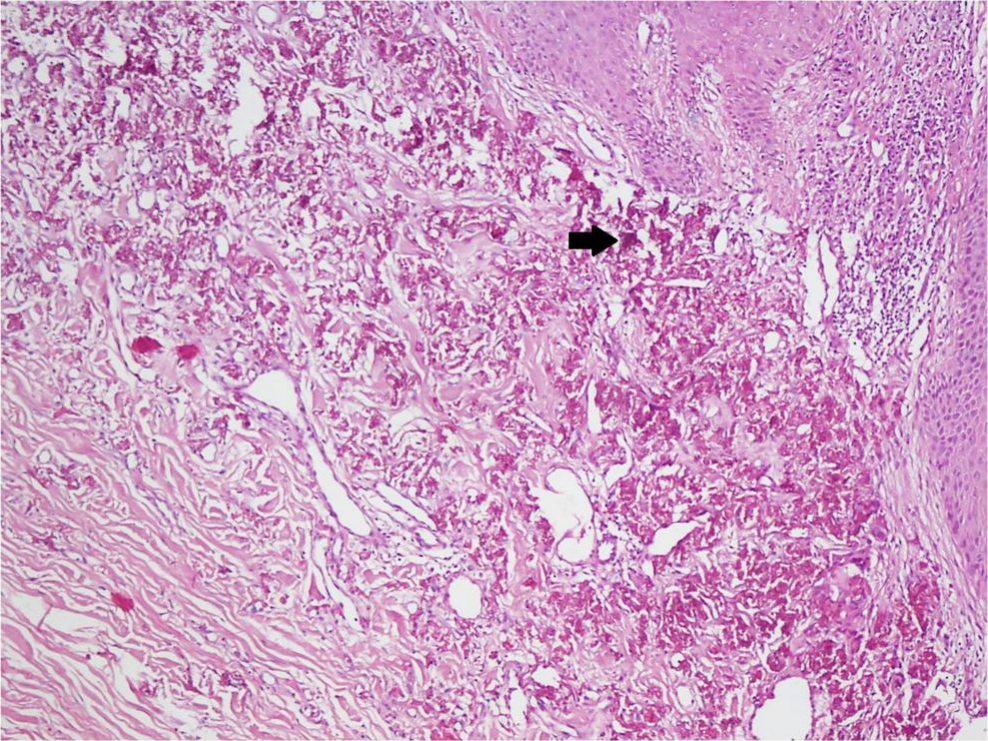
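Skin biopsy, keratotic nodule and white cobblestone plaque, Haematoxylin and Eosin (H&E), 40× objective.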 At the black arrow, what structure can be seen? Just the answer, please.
Curled and basophilic elastic fibres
